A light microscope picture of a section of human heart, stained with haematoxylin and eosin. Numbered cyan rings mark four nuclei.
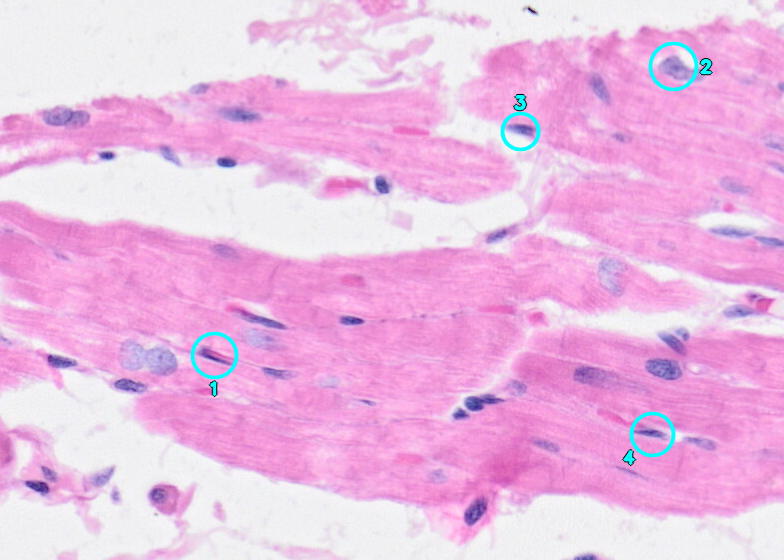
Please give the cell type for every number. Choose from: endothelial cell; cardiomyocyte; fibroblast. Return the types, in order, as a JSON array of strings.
["endothelial cell", "cardiomyocyte", "endothelial cell", "endothelial cell"]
